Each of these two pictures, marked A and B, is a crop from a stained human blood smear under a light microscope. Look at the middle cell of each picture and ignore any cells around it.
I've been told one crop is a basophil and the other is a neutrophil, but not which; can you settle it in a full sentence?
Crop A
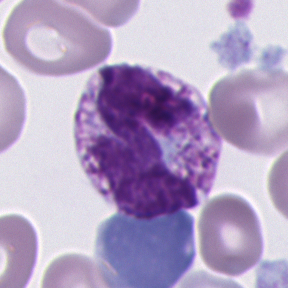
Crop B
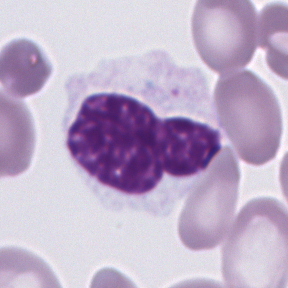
Crop B is a neutrophil, while crop A is a basophil.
